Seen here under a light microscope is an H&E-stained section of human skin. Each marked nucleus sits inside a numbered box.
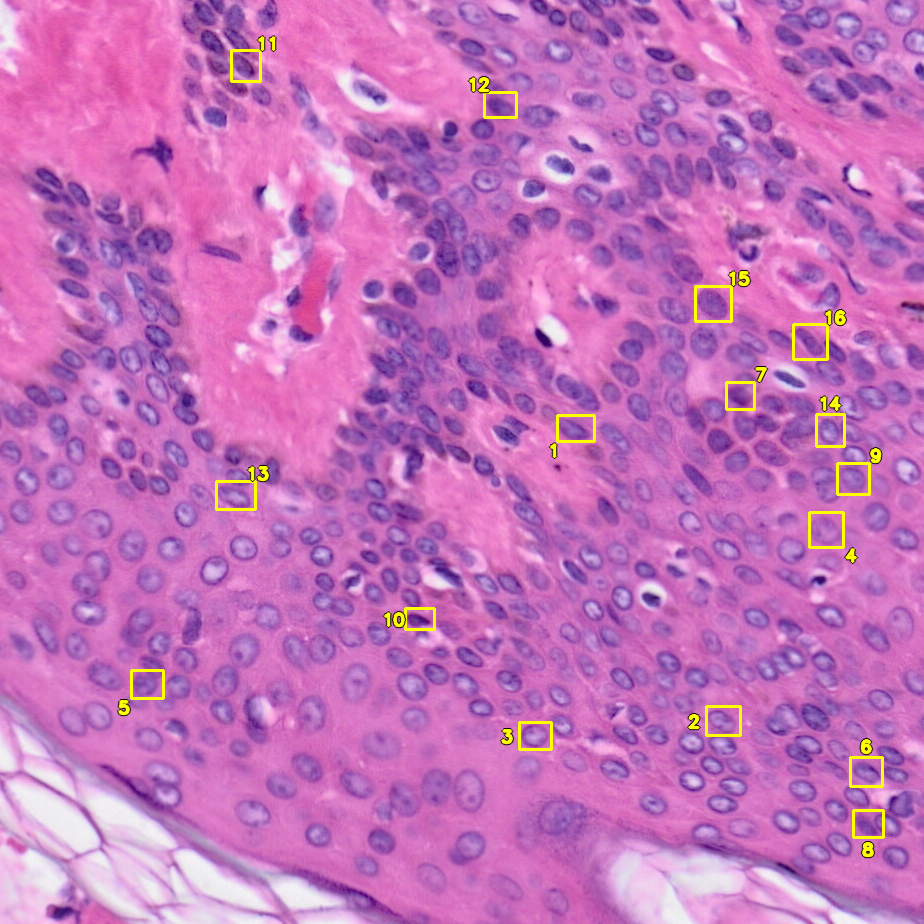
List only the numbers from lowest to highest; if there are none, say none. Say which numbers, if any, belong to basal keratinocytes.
1, 7, 10, 11, 12, 15, 16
